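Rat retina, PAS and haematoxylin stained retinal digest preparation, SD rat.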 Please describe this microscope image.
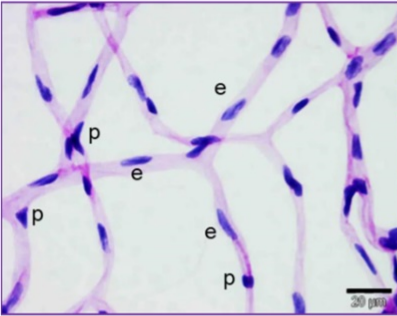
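Dark blue-purple nuclei are spread along every segment. The elongated, oval nuclei lying within the walls belong to endothelial cells. The compact, dark, rounded nuclei sitting on the outside of the tubes, often at branch points, belong to pericytes. The tubes are of fairly even width and all carry nuclei, and no thin, empty strands are evident.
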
